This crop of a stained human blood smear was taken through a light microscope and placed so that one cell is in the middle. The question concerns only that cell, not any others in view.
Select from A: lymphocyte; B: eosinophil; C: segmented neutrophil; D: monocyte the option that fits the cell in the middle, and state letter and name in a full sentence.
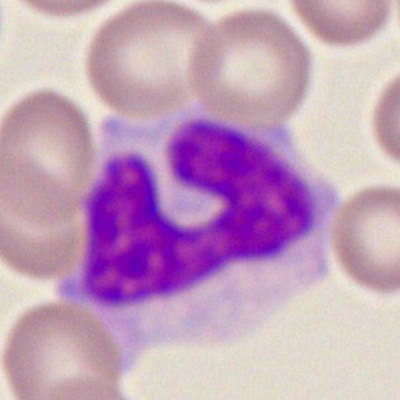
That the central cell is a monocyte makes option D correct.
